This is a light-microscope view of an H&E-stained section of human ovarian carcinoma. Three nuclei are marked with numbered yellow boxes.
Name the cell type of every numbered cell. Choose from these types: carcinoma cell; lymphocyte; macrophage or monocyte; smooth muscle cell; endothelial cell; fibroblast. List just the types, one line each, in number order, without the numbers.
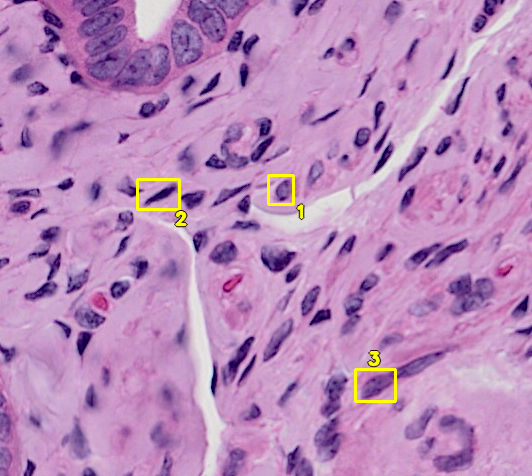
smooth muscle cell
fibroblast
smooth muscle cell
